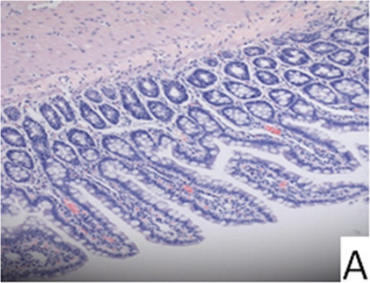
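Section of intestinal wall with intact mucosa: villi and glands. Long slender villi lined by a continuous single layer of columnar epithelium with purple nuclei project toward the empty lumen. Their cores hold loose connective tissue with scattered small red vessels. At the base, rows of round to oval gland cross-sections with purple epithelium sit packed side by side. A pale pink muscular layer runs along the upper edge.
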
